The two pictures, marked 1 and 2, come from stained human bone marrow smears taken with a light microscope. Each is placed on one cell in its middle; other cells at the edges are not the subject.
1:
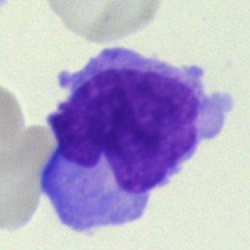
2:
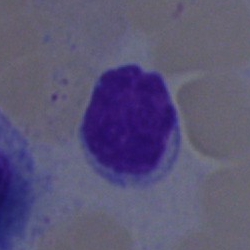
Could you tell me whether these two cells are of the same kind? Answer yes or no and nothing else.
no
